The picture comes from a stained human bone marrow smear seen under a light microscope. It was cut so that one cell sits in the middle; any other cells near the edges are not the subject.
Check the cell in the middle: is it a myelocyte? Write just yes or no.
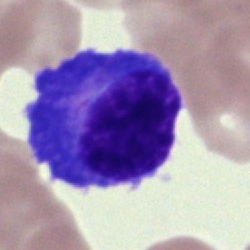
no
